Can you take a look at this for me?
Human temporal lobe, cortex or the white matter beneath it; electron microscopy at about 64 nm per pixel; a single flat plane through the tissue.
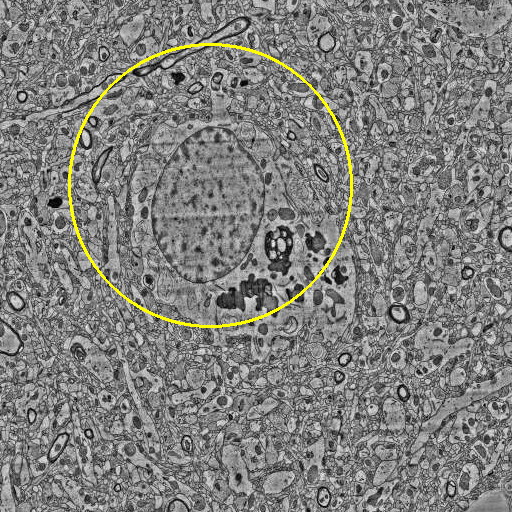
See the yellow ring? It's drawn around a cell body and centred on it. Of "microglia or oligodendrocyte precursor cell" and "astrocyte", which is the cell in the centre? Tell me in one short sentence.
The one in the centre is an astrocyte.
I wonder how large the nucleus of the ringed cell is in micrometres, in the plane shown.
The nucleus works out at approximately 10 by 7 micrometres in this plane.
